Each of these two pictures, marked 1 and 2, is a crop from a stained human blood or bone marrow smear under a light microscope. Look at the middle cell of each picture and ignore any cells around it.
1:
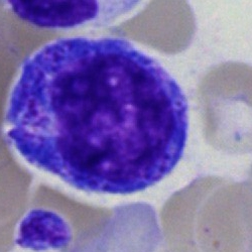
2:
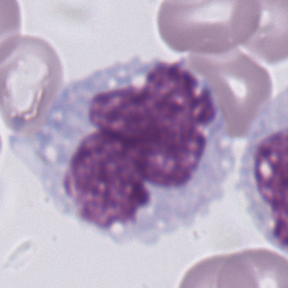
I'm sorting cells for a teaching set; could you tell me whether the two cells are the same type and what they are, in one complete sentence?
No, a promyelocyte is centred in crop 1, and a monocyte is centred in crop 2.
